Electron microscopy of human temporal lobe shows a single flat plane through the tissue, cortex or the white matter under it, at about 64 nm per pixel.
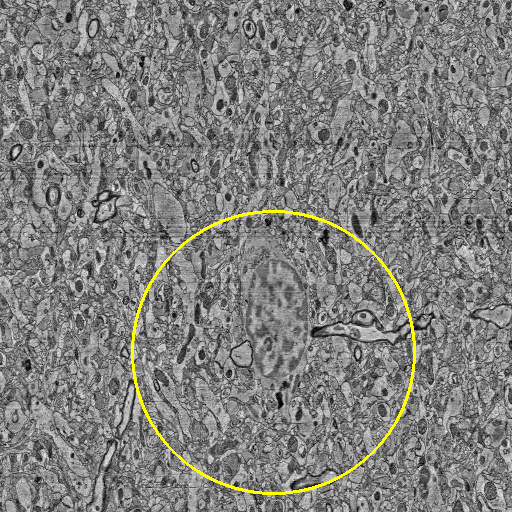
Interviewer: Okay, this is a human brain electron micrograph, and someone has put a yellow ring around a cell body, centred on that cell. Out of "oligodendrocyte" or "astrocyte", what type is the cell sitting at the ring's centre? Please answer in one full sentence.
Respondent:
The cell at the centre of the yellow ring in this picture is an oligodendrocyte.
